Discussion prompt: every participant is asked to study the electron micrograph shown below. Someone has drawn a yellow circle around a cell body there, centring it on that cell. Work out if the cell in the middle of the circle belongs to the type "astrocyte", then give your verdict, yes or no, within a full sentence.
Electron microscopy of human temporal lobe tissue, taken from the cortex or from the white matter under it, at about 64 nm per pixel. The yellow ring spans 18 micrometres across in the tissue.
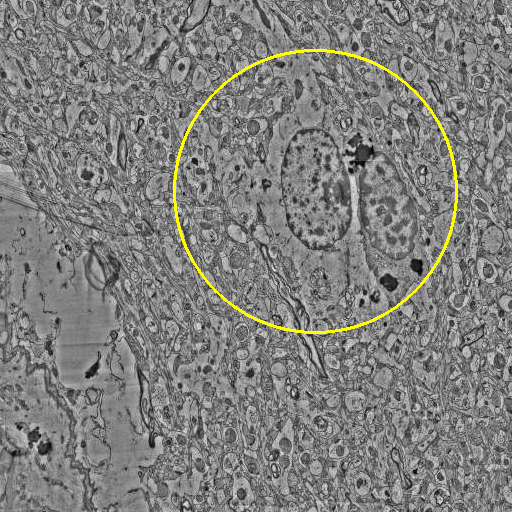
Yes, my verdict is that the cell in the circle's centre is of that type.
